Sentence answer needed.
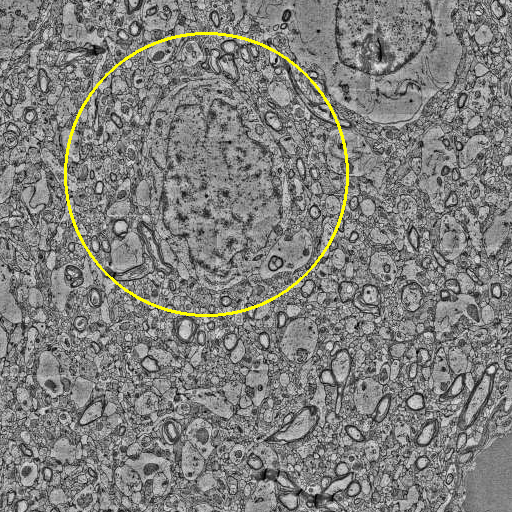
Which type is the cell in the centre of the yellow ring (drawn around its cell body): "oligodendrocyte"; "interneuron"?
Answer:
In the centre of the yellow ring is an interneuron.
